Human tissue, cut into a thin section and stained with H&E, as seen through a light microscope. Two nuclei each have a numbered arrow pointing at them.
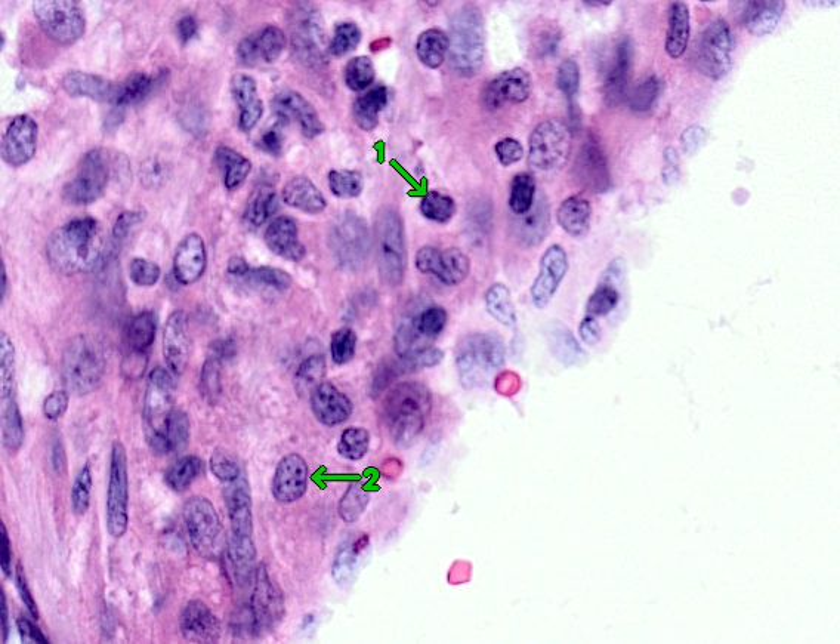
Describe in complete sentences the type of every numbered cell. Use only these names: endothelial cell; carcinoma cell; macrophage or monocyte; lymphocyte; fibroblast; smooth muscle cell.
Cell 1 is a lymphocyte. Cell 2 is a macrophage or monocyte.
